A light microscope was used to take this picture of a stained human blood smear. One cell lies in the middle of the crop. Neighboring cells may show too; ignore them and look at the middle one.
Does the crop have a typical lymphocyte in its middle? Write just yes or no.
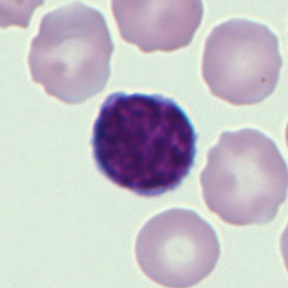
yes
